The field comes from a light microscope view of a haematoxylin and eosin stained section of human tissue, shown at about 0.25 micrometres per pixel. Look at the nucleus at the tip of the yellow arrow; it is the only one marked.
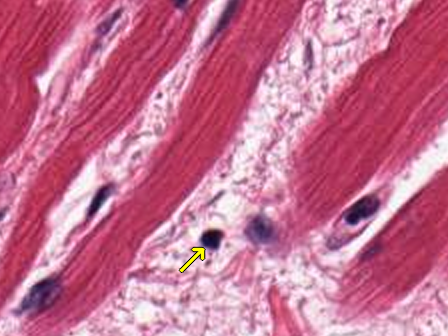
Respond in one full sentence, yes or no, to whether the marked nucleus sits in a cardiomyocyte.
No, rather than a cardiomyocyte, it is a supporting cell that contains the marked nucleus.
